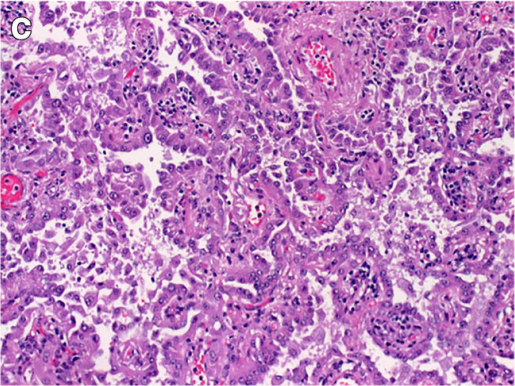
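Atypical cuboidal to columnar tumor cells with enlarged nuclei and pink cytoplasm line thin fibrovascular septa. The septa keep an alveolus-like framework with open spaces between them.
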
